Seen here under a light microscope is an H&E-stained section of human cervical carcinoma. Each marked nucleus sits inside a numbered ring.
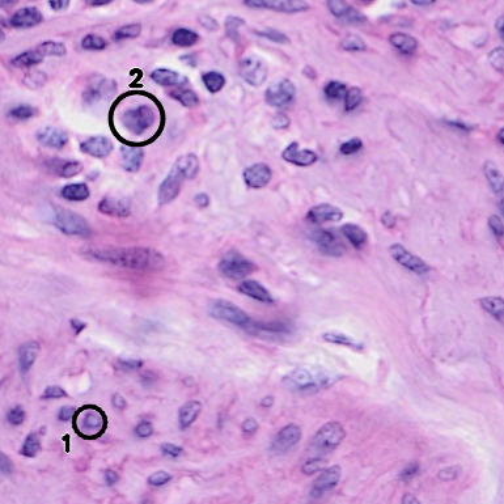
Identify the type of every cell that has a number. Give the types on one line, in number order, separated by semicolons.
smooth muscle cell; lymphocyte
